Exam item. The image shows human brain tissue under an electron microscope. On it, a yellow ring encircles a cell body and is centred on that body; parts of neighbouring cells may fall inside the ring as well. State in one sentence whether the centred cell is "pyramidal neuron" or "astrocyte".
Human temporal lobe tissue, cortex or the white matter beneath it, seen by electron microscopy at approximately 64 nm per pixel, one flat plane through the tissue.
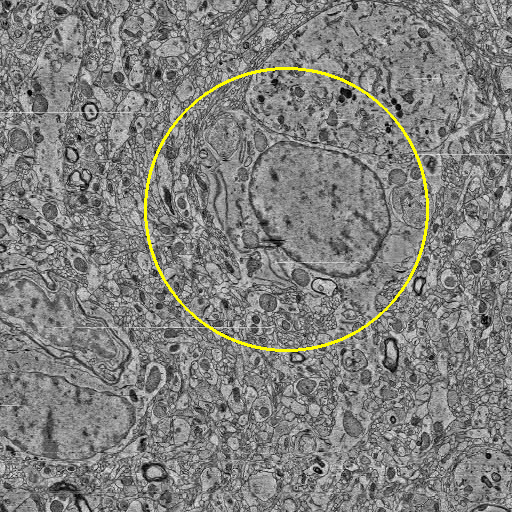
The cell body centred in the ring is an astrocyte.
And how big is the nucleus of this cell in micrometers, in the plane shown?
The ringed cell's nucleus is about 10 micrometres long and 8 micrometres wide in this plane.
